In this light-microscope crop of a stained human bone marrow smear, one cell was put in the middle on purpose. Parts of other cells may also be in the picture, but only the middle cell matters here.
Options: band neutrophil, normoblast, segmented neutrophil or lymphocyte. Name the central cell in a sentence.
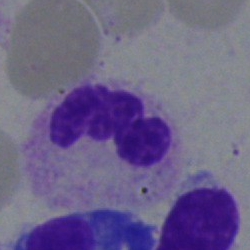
Where the crop is centred, there is a segmented neutrophil.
